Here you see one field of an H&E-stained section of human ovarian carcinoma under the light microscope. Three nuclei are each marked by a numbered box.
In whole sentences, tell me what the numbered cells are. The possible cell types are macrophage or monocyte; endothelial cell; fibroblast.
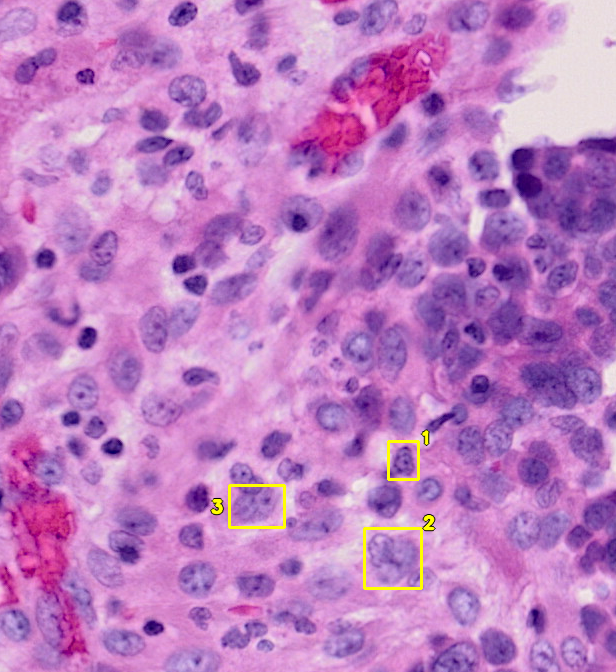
Cell 1 is a macrophage or monocyte. Cells 2 and 3 are fibroblasts.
